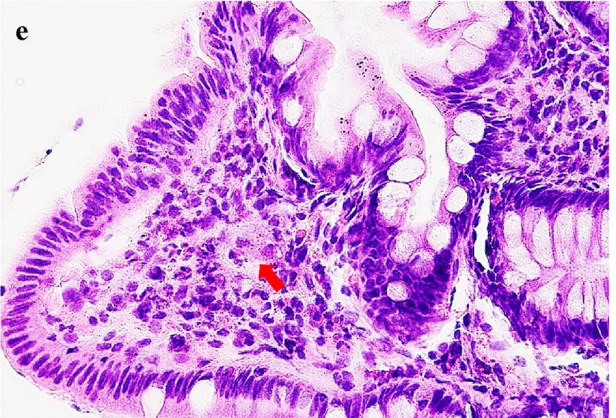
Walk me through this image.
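This is the tip of a small-bowel villus. Its surface is a single row of tall columnar cells with elongated purple nuclei lined up near their bases. Goblet cells are scattered among them and show as clear, rounded vacuoles. The core of the villus, the lamina propria, is crowded with cells. Many are small with dark round nuclei. Among them, in the middle of the core, sit larger cells with abundant pale pink, finely granular cytoplasm. A crypt lined by cells full of goblet vacuoles runs up on the right.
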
